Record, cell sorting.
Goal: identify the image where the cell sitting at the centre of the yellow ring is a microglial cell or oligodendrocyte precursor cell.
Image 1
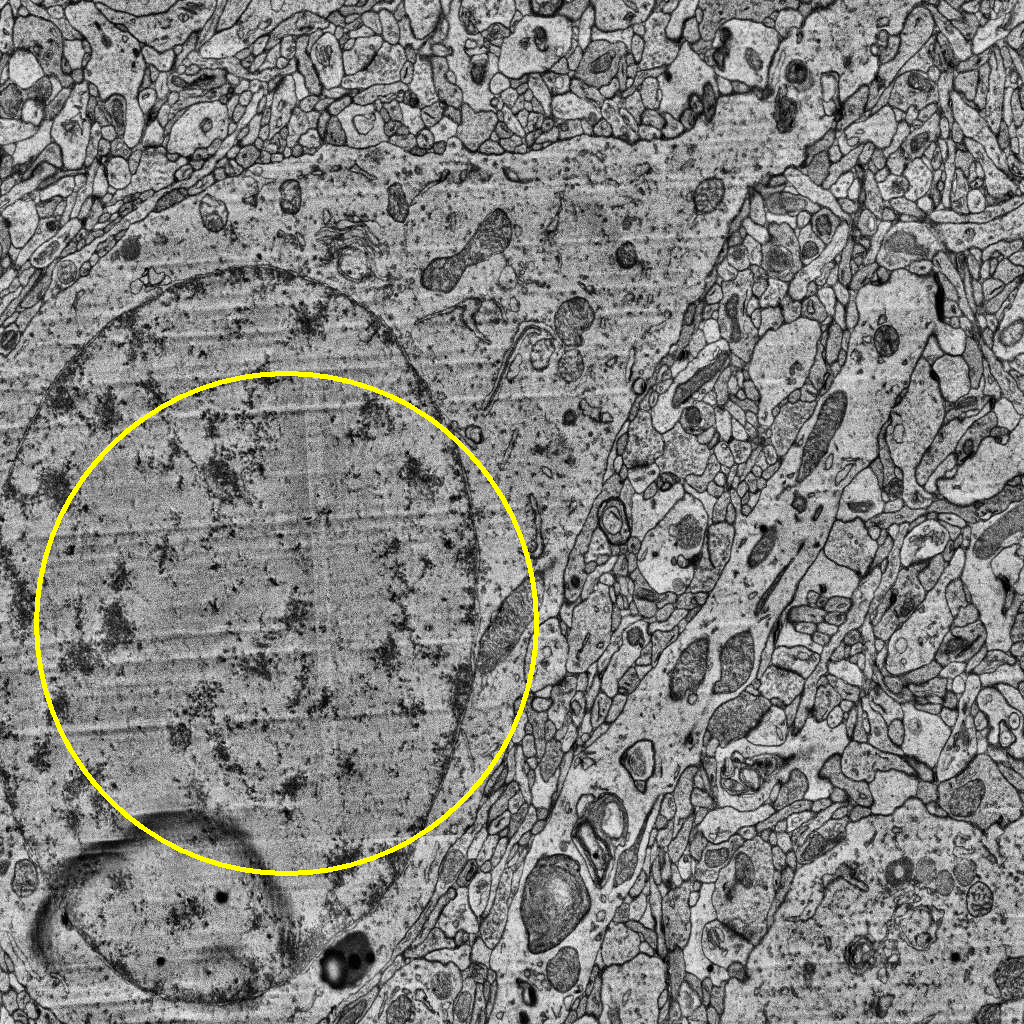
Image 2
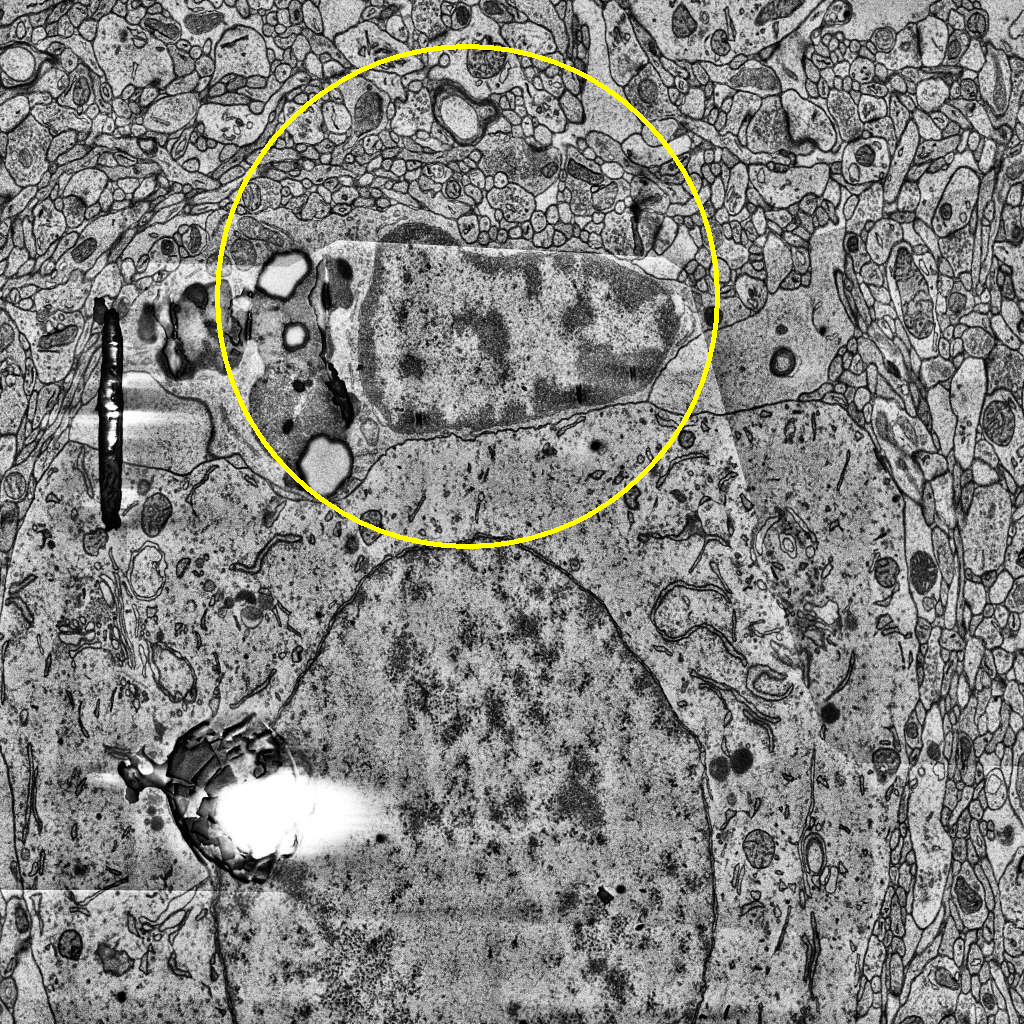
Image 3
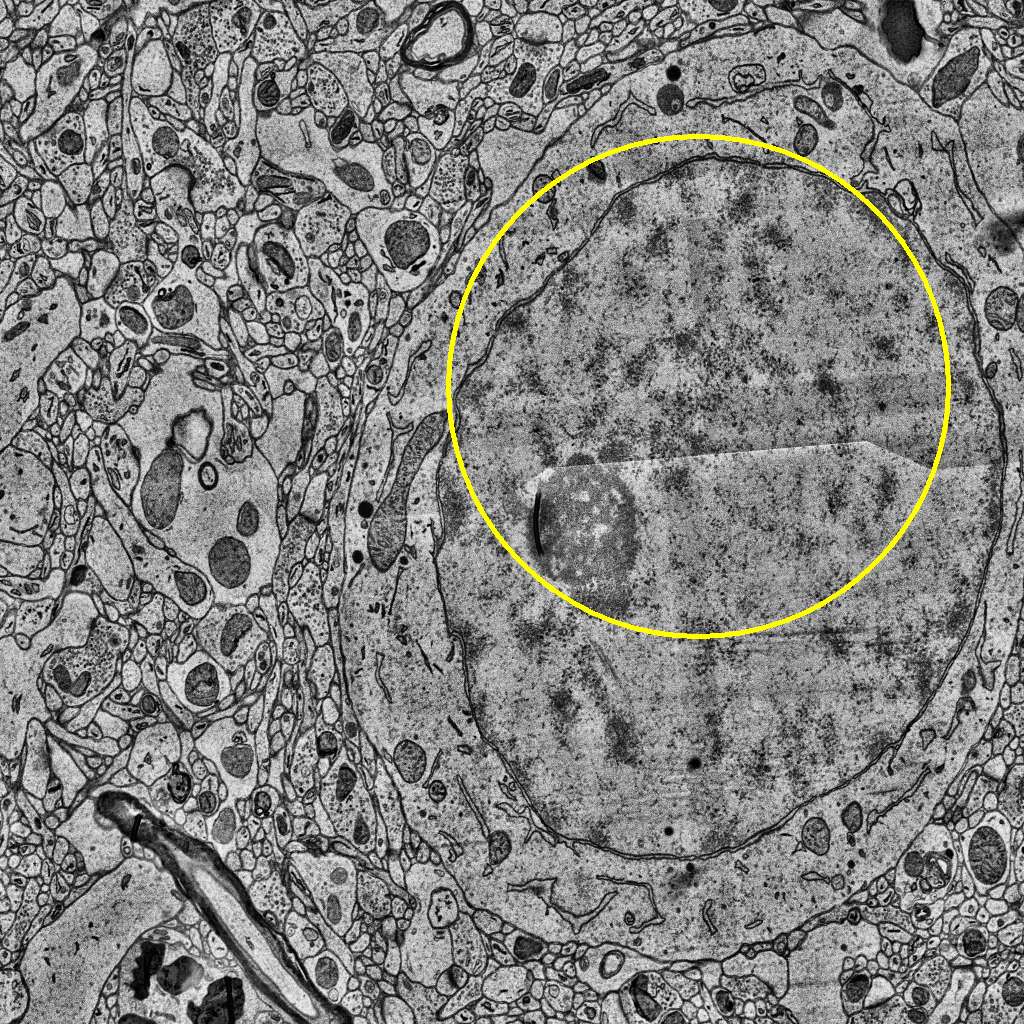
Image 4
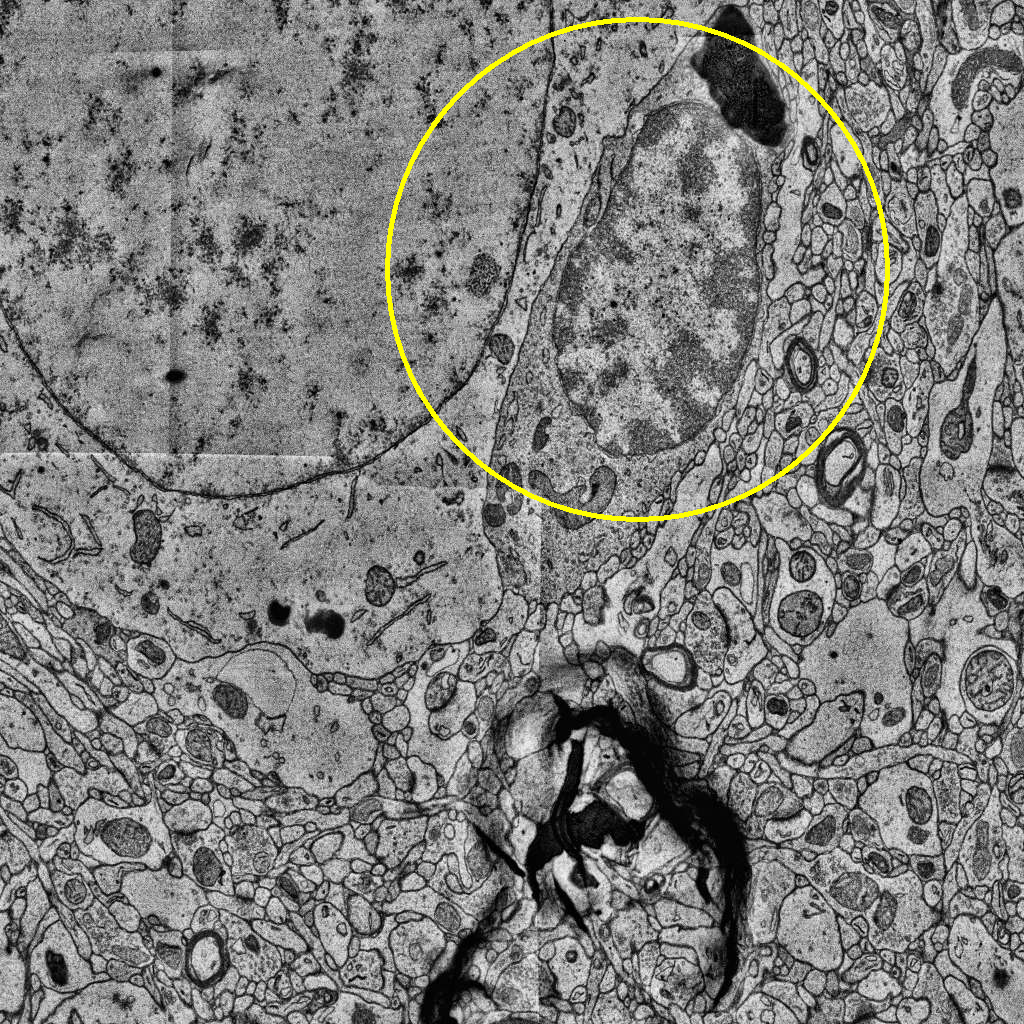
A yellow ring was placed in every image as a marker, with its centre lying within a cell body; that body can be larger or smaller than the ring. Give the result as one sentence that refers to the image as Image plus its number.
Image 2 shows the requested cell sitting right at the centre of its ring.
